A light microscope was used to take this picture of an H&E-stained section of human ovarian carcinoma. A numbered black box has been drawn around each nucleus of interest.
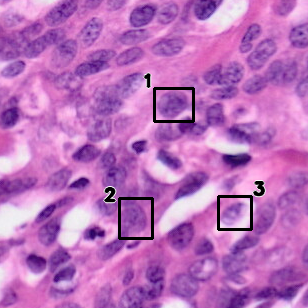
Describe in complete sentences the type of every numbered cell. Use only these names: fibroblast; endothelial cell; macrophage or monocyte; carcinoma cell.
Cell 1 is a carcinoma cell, cell 2 is a carcinoma cell and cell 3 is a macrophage or monocyte.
